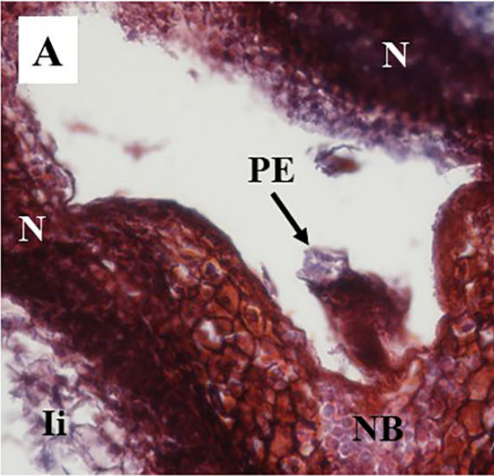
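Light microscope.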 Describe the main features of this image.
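This is a longitudinal section through an ovule at the pro-embryo stage. The nucellar beak forms a U-shaped mass of polygonal, thick-walled cells stained red-brown, and the cells surround an open, unstained cavity. A small, irregular pro-embryo lies within the cavity, near the base of the beak. The surrounding nucellus is densely stained deep red to purple. At the lower left corner is looser, paler tissue of the inner integument. The cavity shows no lining layer, and the cells of the beak still appear intact and tightly packed.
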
